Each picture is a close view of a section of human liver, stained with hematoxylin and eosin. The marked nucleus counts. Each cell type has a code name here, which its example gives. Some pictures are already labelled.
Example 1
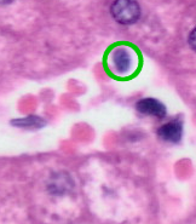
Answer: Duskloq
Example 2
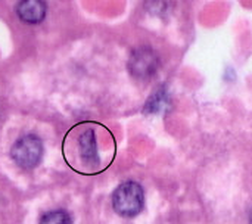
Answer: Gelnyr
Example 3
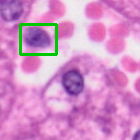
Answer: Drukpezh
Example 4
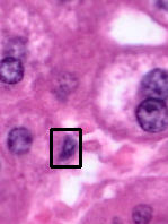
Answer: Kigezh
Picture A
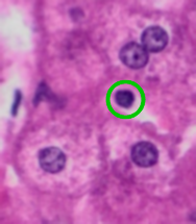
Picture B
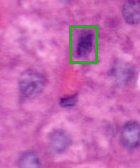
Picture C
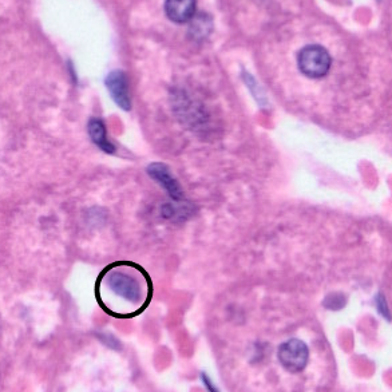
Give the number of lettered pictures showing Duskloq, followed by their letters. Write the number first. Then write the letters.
1: A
